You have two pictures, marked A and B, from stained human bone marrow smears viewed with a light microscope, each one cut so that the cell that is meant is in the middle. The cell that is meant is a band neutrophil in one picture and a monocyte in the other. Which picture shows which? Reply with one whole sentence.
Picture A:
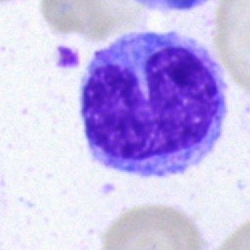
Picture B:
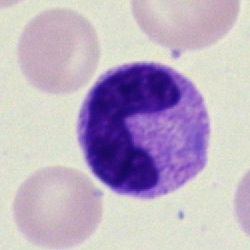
Picture A shows a monocyte and picture B shows a band neutrophil.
